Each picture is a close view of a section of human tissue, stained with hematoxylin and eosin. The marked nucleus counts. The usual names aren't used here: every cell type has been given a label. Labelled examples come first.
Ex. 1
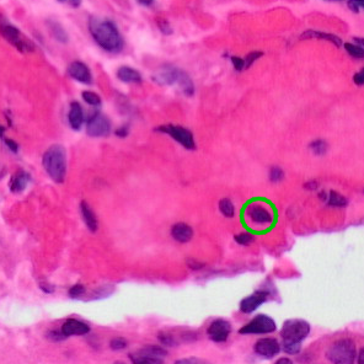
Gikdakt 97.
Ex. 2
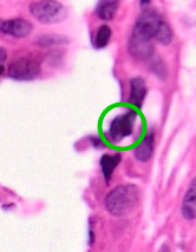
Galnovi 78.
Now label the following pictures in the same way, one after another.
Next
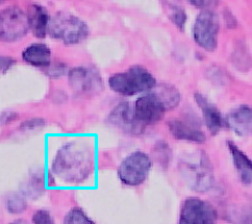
Galnovi 78.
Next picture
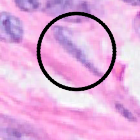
Gikdakt 97.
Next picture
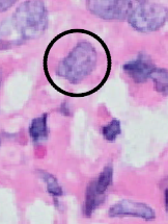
Galnovi 78.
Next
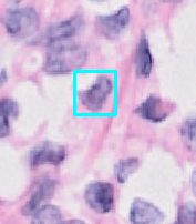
Galnovi 78.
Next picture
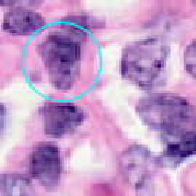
Galnovi 78.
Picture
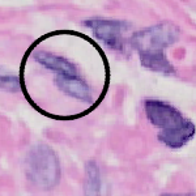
Gikdakt 97.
